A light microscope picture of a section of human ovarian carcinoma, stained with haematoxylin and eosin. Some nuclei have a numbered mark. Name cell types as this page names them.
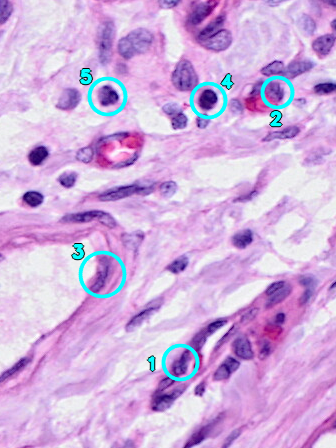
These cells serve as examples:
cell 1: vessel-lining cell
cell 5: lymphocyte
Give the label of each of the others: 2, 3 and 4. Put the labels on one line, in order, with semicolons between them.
vessel-lining cell; vessel-lining cell; lymphocyte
